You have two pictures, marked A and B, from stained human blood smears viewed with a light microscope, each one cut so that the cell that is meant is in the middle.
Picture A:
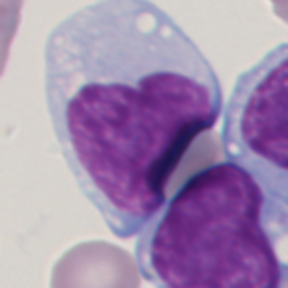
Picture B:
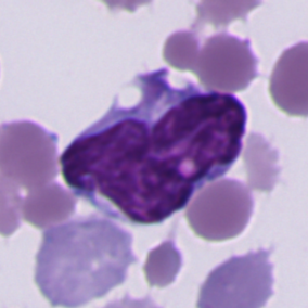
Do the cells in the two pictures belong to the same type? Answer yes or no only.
no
